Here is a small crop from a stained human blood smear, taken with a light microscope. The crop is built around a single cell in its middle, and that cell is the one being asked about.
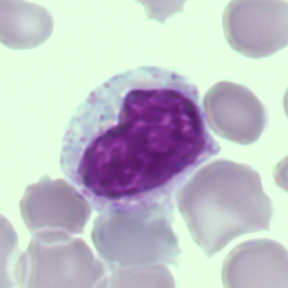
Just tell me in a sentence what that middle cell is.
To answer, the cell in the center of the crop is a metamyelocyte.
